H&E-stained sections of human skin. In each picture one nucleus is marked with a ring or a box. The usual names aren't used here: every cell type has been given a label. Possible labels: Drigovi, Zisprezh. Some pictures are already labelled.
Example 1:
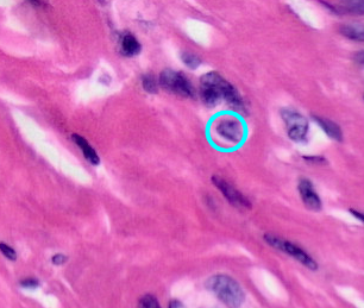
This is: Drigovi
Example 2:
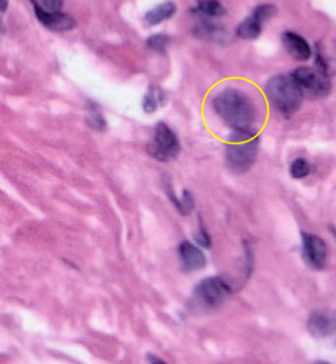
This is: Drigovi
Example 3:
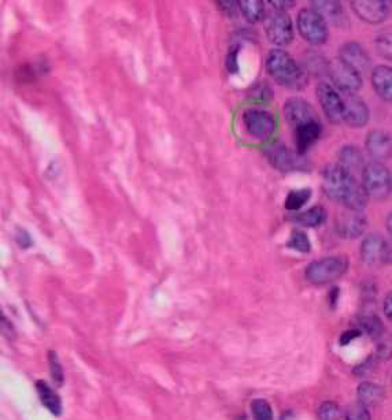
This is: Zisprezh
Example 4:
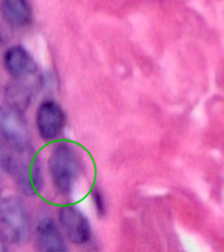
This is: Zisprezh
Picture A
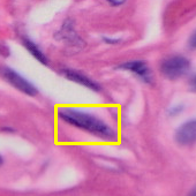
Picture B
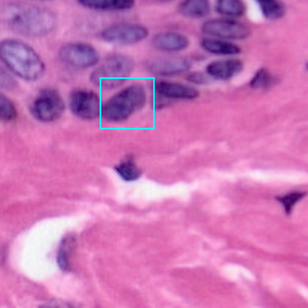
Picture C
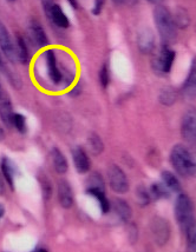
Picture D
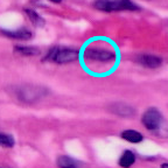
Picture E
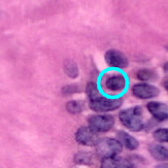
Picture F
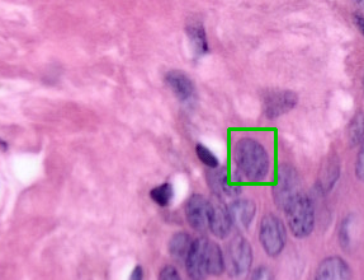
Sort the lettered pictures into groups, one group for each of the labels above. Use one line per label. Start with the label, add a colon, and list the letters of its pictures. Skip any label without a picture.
Drigovi: A, D
Zisprezh: B, C, E, F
